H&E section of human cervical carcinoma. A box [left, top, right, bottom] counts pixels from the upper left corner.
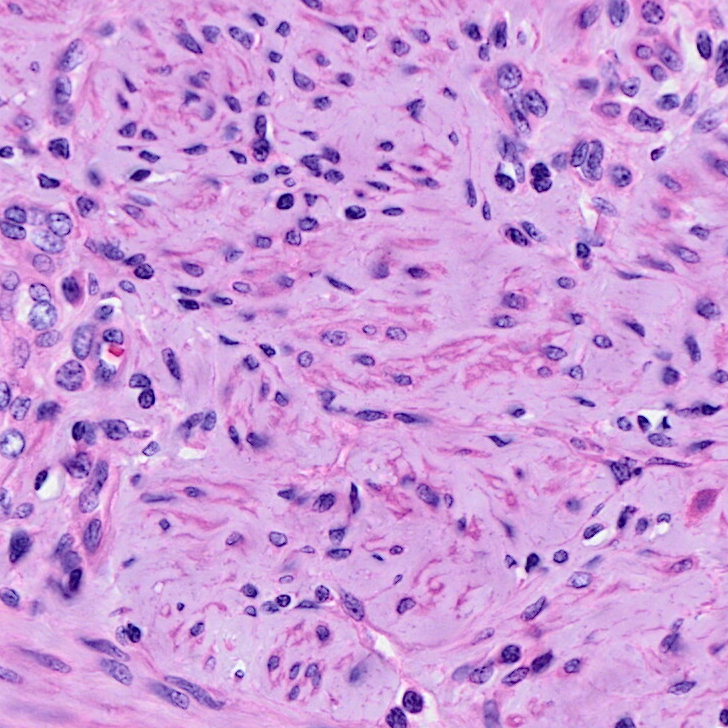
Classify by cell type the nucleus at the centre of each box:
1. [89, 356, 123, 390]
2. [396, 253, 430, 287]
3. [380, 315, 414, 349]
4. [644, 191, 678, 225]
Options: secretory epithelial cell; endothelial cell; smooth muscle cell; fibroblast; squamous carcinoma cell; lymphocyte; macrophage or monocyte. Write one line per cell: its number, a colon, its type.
1: endothelial cell
2: smooth muscle cell
3: smooth muscle cell
4: smooth muscle cell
